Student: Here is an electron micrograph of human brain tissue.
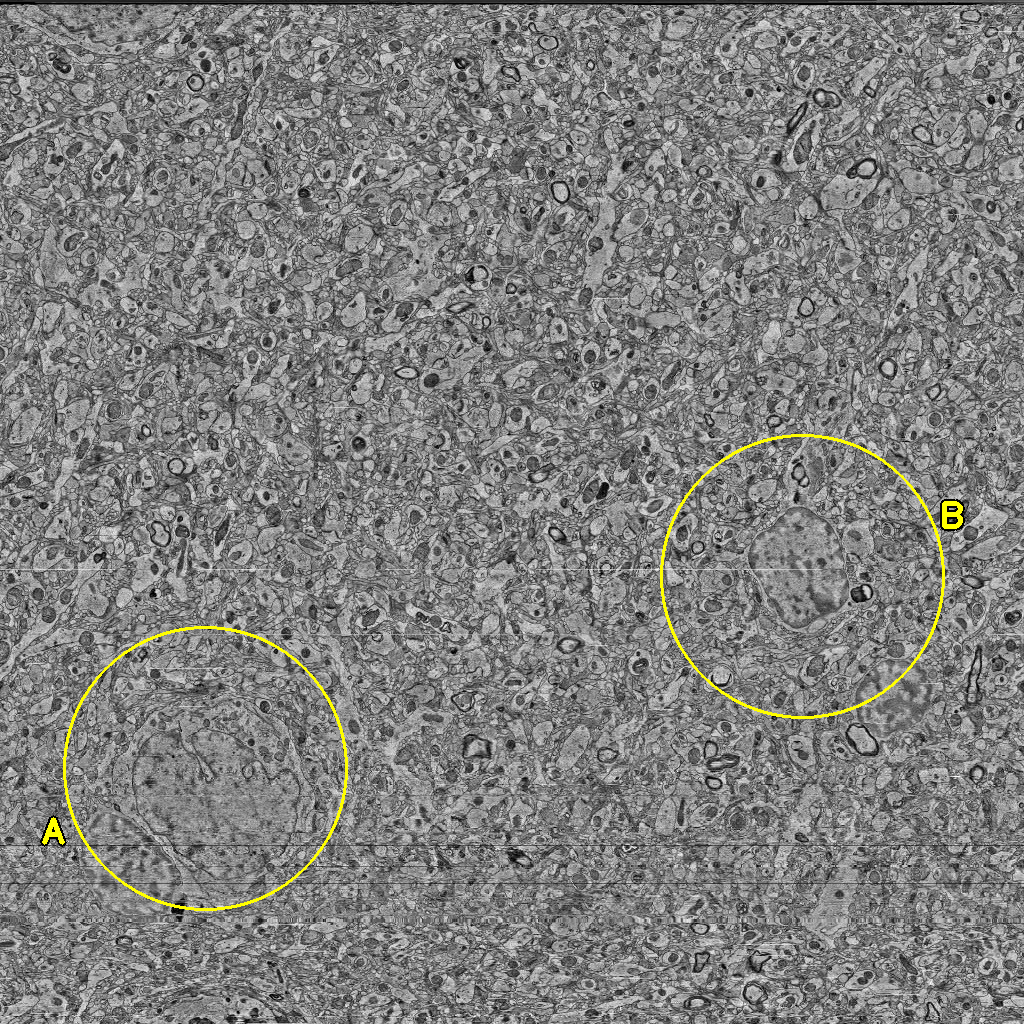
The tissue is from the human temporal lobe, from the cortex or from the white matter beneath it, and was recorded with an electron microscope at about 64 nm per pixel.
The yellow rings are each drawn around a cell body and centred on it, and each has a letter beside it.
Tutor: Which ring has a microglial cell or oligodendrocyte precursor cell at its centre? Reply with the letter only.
B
